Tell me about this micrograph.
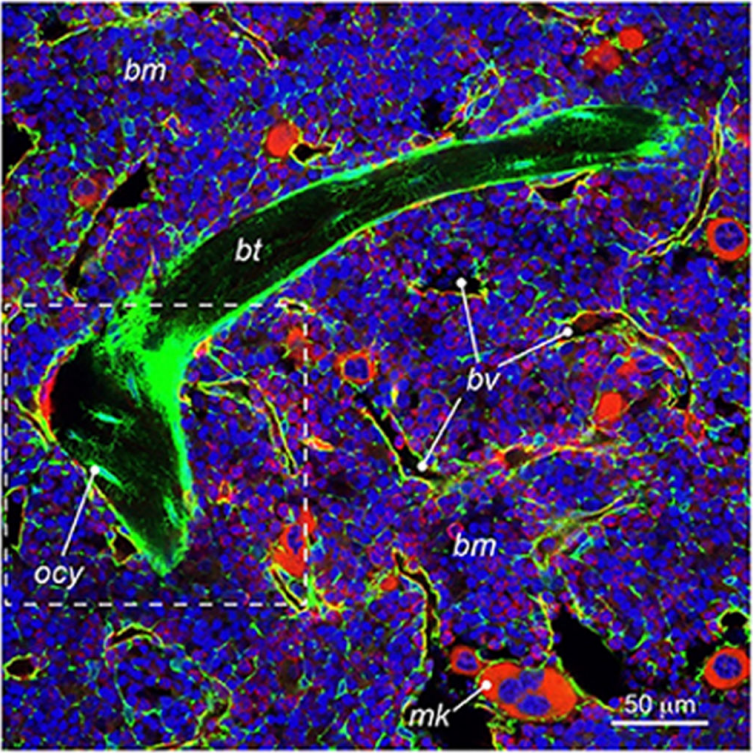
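Bone marrow crossed by a long curved bone trabecula that is bright green at its edges and one end, surrounded by densely packed hematopoietic cells with blue nuclei. Scattered through the marrow are large red megakaryocytes with big nuclei, and blood vessels appear as dark spaces lined by thin green and red cells, with fine green stromal processes dispersed among the blood-forming cells.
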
